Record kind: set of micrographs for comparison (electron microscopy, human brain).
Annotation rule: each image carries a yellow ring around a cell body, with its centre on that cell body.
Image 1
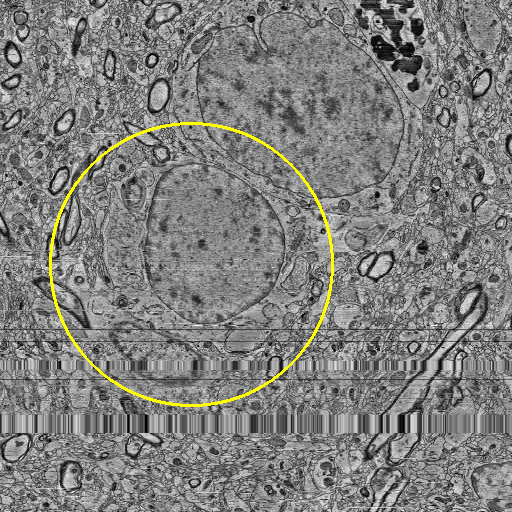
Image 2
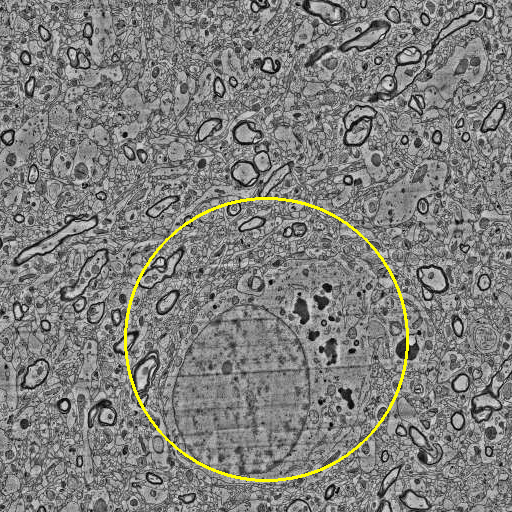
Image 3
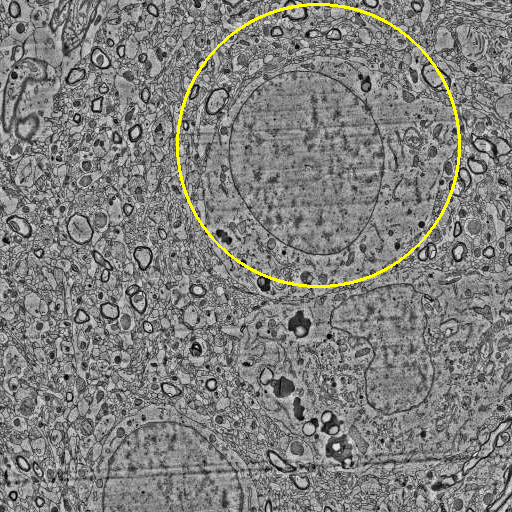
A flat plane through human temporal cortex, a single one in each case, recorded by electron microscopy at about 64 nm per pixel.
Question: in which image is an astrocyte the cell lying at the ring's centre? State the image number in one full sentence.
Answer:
In image 1, the ring is centred on the cell in question.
